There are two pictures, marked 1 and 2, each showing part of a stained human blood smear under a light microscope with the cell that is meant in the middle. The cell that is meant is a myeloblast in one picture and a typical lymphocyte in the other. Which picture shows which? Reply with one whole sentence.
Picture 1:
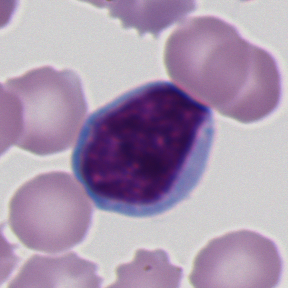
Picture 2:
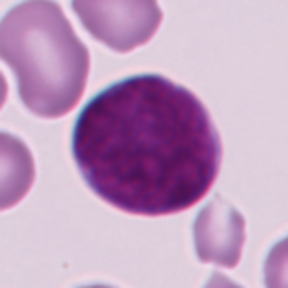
The cell in picture 1 is a typical lymphocyte, and the one in picture 2 is a myeloblast.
